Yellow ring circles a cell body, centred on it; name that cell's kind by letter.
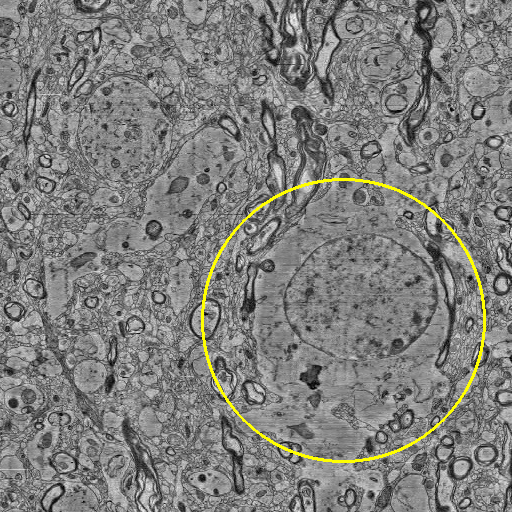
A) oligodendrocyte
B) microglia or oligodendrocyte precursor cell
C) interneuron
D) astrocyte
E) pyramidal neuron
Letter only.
D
